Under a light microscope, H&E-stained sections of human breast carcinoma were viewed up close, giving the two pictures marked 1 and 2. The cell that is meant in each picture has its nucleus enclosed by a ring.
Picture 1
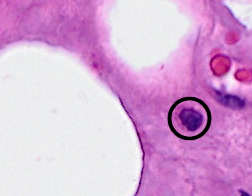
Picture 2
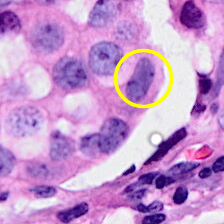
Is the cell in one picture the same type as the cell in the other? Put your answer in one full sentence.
No; the cell in picture 1 is a “macrophage, monocyte or dendritic cell”, while the one in picture 2 is a carcinoma cell.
